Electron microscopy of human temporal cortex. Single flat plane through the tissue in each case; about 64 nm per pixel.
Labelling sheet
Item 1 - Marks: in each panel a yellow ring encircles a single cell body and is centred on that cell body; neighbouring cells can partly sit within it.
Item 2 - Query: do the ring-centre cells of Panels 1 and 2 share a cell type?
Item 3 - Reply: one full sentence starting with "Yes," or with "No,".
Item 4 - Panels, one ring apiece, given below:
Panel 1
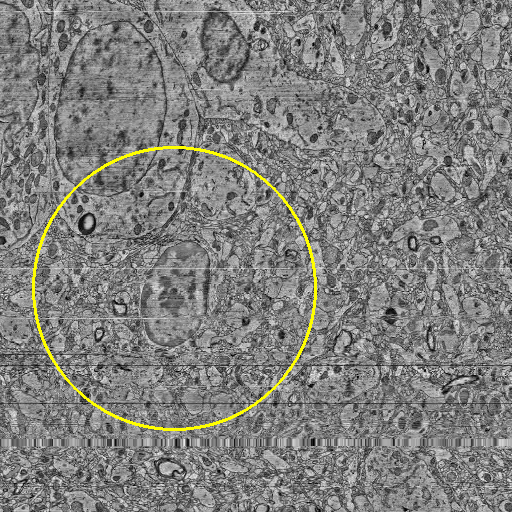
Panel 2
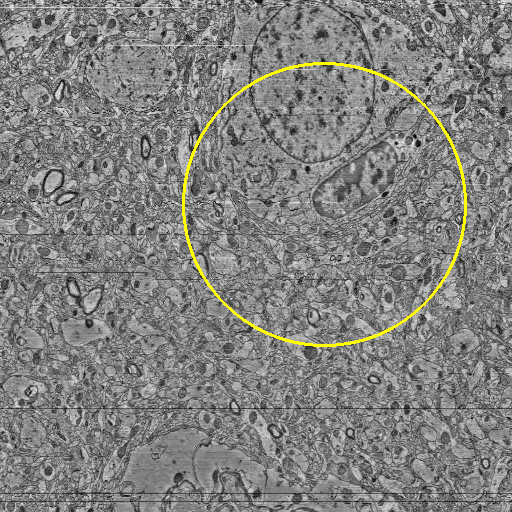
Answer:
Yes, Panel 1 and Panel 2 show one cell type at the centres of their rings.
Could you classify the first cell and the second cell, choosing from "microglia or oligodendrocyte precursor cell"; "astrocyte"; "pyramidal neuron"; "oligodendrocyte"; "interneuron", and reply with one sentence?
The cell at the ring centre is a microglial cell or oligodendrocyte precursor cell in both pictures.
